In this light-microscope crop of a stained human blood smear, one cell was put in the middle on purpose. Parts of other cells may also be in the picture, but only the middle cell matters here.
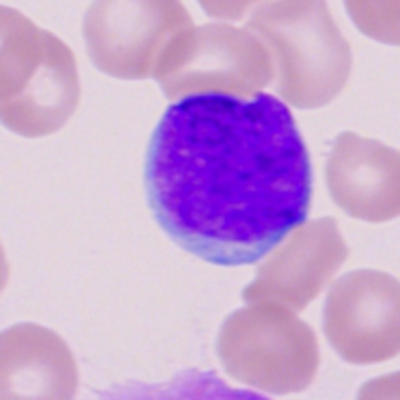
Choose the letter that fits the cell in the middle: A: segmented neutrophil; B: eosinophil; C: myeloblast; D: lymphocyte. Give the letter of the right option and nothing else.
C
